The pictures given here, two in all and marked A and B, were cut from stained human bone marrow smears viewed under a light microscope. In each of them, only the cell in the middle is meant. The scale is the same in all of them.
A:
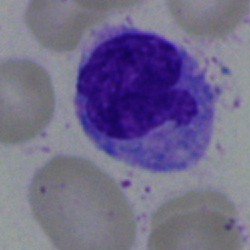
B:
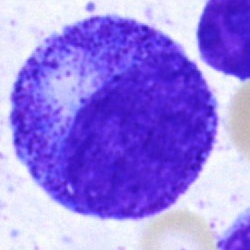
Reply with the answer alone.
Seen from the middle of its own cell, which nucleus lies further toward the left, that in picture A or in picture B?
A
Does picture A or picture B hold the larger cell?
B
